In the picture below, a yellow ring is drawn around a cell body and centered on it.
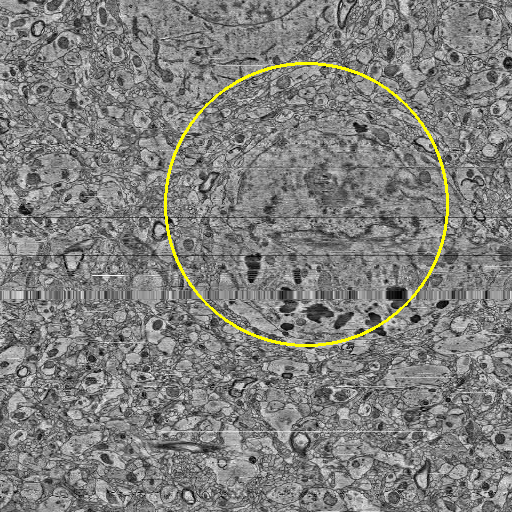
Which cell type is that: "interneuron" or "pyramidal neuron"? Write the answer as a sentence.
The cell centered in the ring is an interneuron.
